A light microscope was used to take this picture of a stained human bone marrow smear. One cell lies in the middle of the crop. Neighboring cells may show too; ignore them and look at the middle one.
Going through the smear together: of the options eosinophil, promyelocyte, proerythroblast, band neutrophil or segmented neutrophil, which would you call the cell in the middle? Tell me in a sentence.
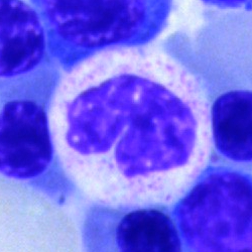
The cell nearest the centre of this crop is a band neutrophil.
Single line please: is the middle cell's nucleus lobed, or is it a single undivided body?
Round, oval or kidney-shaped, the nucleus is one compact mass.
